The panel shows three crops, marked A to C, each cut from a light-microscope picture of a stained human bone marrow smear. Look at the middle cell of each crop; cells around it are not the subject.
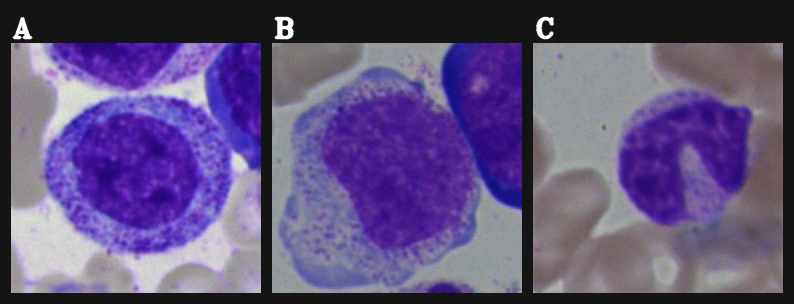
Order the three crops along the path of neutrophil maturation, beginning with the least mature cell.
A, B, C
